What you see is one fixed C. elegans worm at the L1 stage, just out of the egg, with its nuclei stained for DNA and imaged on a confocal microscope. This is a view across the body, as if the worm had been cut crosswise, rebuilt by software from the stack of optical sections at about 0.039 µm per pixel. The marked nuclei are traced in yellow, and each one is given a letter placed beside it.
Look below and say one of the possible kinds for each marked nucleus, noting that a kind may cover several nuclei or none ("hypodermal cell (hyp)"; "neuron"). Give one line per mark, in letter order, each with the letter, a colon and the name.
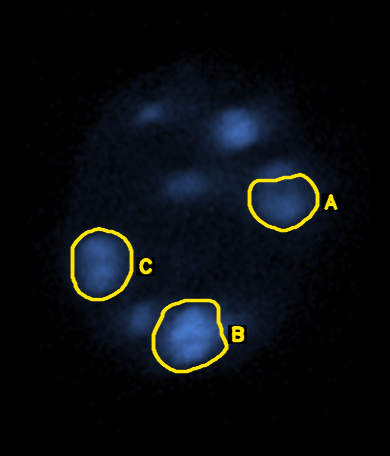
A: hypodermal cell (hyp)
B: neuron
C: hypodermal cell (hyp)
